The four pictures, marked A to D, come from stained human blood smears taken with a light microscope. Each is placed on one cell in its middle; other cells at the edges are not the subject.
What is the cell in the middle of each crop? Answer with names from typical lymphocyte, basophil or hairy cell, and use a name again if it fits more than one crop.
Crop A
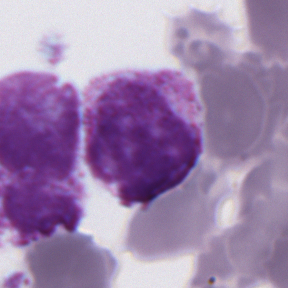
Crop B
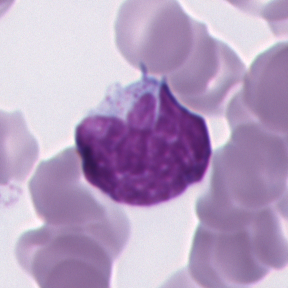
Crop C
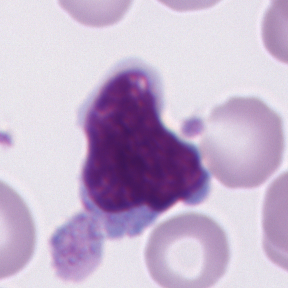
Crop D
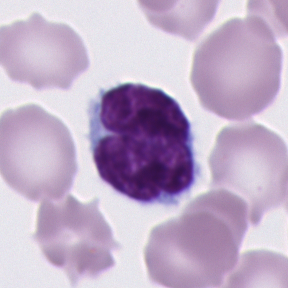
A: basophil
B: typical lymphocyte
C: typical lymphocyte
D: hairy cell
